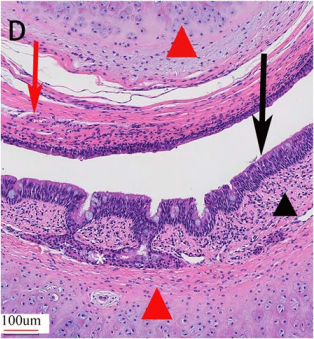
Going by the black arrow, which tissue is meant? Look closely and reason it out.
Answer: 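Epithelium. The arrow points to a continuous layer of tall cells lining the lumen. The layer has densely packed purple nuclei and folds into small invaginations.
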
